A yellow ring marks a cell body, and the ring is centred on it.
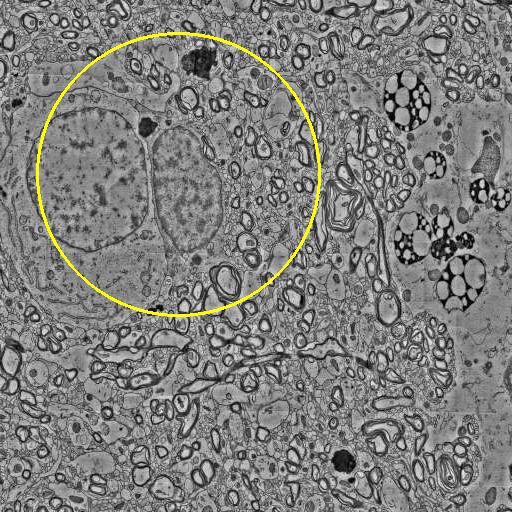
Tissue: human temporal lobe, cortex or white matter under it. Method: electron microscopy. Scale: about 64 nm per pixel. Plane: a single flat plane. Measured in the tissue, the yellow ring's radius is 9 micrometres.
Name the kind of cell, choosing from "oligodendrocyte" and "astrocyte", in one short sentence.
The marked cell body belongs to an oligodendrocyte.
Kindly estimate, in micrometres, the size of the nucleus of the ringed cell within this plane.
In this plane the nucleus is clearly longer than it is wide: roughly 8 by 4 micrometres.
